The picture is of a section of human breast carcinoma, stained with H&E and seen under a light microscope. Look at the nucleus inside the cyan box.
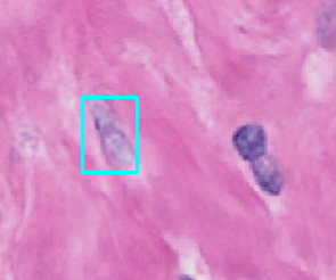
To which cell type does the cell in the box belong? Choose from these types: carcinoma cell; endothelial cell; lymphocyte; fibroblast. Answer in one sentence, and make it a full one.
As far as its identity is concerned, the cell in the box is a fibroblast.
